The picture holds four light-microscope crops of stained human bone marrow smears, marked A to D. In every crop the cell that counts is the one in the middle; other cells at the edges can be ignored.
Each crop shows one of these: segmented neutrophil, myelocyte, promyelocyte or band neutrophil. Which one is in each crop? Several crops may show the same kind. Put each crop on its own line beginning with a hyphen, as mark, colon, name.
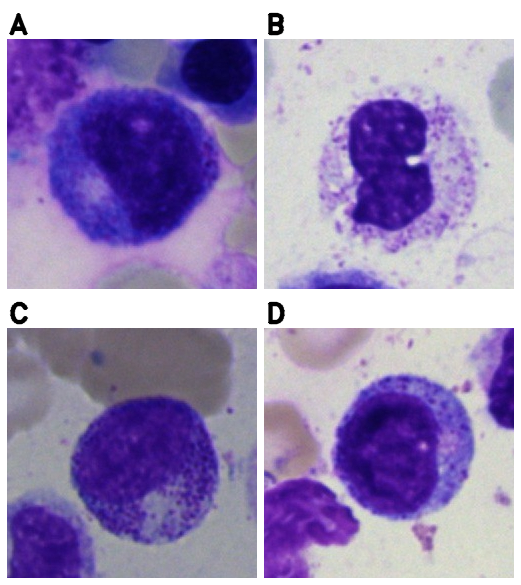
- A: promyelocyte
- B: band neutrophil
- C: myelocyte
- D: myelocyte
